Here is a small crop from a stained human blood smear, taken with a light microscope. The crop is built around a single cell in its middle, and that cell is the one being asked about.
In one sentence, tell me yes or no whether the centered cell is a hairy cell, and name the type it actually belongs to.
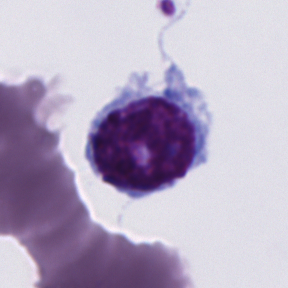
Yes, a hairy cell is present in the middle of the crop.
